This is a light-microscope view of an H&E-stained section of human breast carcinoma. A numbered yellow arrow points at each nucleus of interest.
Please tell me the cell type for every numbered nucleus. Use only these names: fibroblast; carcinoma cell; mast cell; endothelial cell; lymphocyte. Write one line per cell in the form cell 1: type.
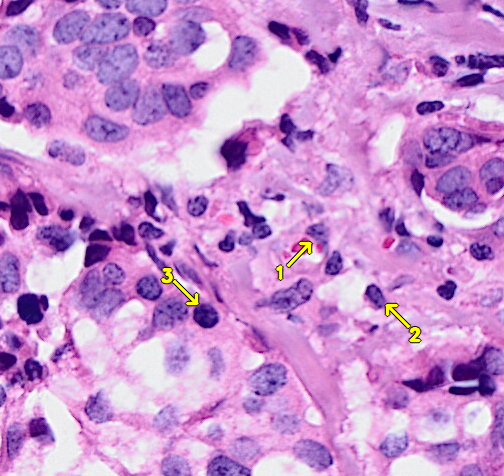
cell 1: endothelial cell
cell 2: mast cell
cell 3: carcinoma cell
